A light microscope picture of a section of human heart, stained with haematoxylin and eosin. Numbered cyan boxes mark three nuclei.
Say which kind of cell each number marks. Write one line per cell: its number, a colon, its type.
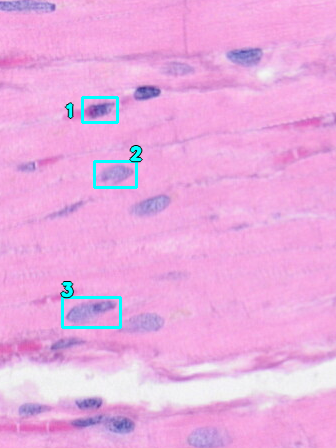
1: endothelial cell
2: cardiomyocyte
3: cardiomyocyte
